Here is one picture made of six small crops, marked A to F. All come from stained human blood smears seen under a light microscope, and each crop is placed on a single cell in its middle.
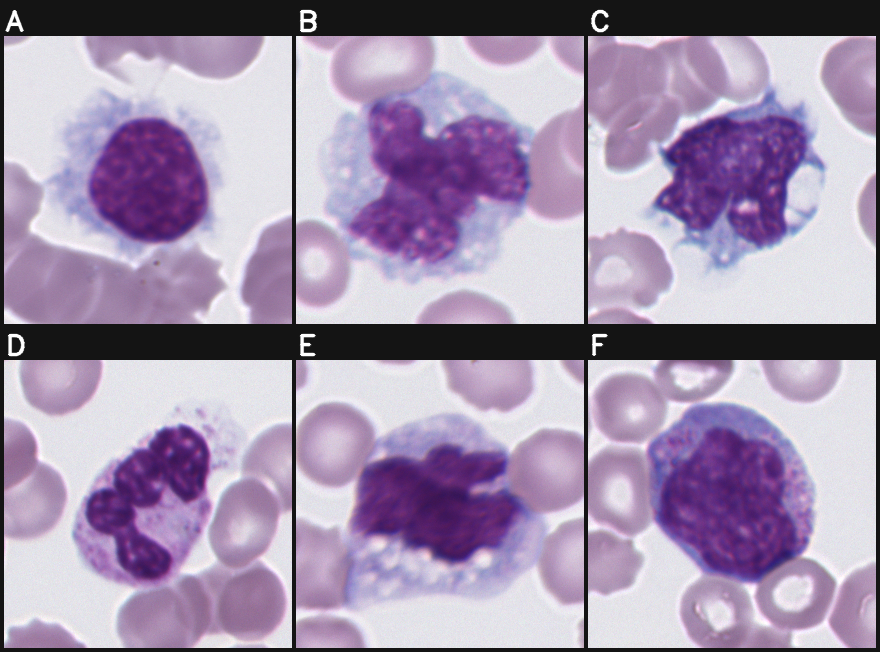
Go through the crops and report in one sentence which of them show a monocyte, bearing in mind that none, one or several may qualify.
Crops B, C and E hold monocytes in the centre of the field.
